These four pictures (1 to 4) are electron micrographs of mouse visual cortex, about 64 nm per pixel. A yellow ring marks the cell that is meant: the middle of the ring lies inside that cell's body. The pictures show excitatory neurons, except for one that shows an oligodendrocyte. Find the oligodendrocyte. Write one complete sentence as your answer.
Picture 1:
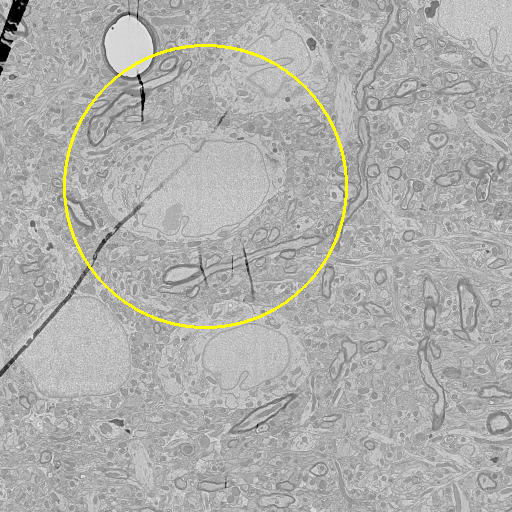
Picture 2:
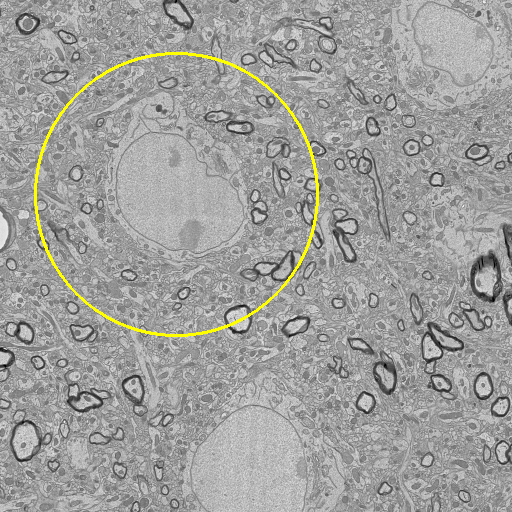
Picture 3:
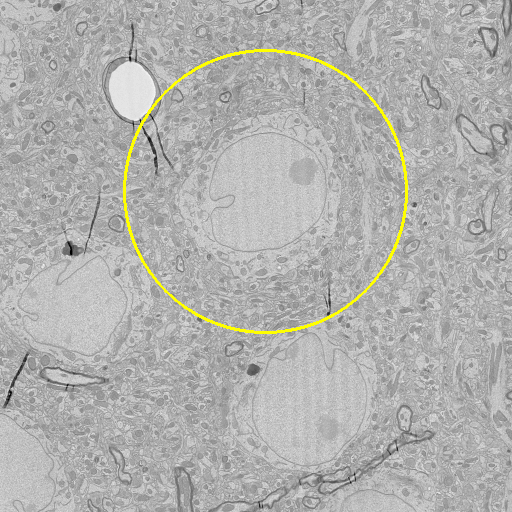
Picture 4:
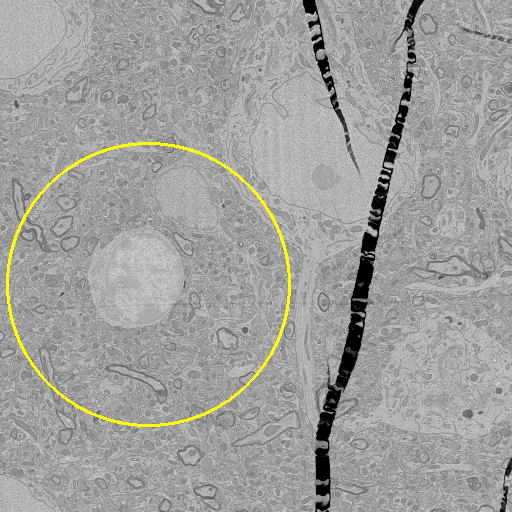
The picture with the oligodendrocyte is 4.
